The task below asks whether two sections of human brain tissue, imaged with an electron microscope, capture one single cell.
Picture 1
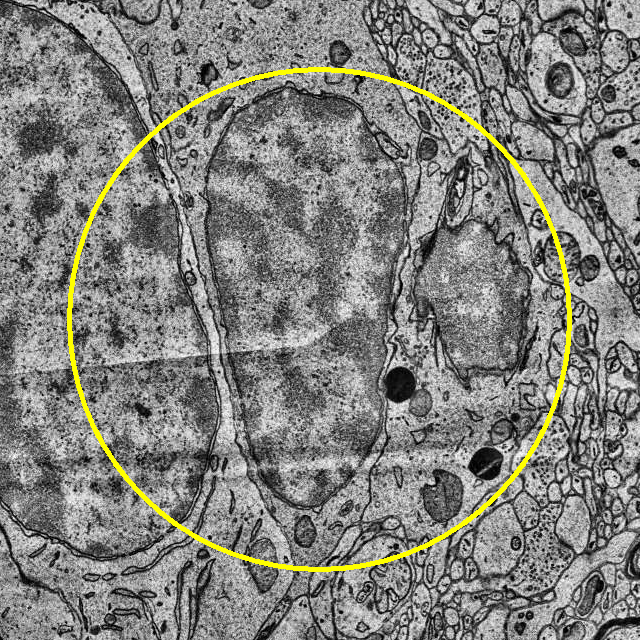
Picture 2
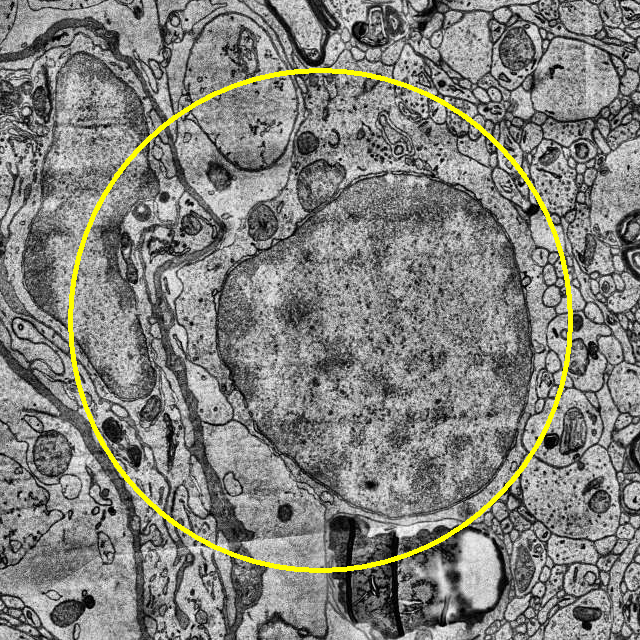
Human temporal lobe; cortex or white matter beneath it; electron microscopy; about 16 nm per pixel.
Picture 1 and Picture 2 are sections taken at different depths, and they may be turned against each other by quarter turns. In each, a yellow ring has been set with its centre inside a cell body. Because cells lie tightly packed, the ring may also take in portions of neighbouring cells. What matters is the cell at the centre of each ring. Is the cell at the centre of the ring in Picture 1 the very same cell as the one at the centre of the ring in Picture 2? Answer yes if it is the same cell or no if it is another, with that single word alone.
no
